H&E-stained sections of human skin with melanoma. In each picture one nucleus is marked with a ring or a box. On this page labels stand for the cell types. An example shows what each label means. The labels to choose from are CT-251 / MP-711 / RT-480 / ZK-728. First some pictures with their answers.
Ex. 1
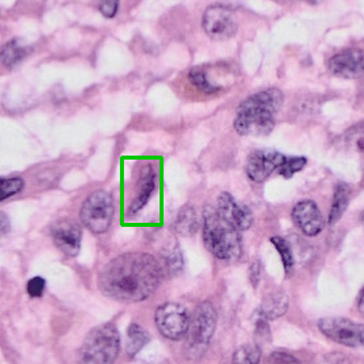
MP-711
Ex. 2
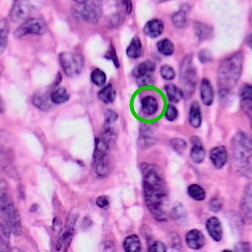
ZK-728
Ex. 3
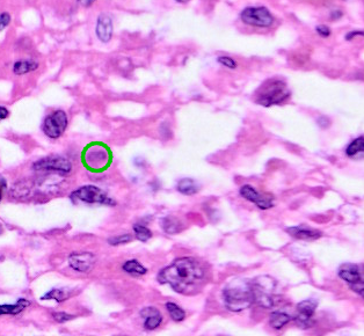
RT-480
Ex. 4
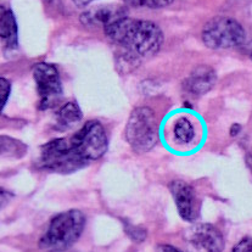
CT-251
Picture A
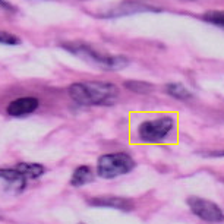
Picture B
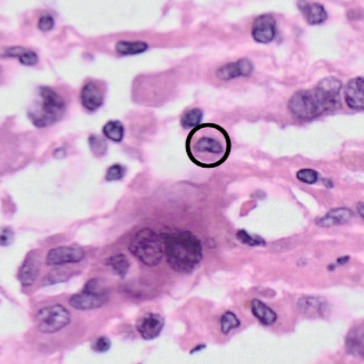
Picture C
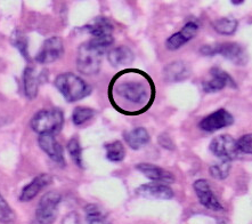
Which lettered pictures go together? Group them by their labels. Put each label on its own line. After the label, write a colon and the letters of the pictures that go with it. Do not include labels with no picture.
CT-251: A
MP-711: C
RT-480: B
